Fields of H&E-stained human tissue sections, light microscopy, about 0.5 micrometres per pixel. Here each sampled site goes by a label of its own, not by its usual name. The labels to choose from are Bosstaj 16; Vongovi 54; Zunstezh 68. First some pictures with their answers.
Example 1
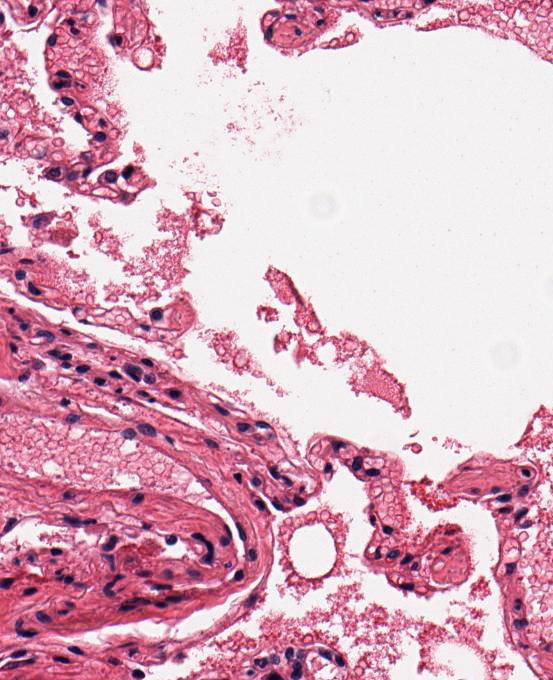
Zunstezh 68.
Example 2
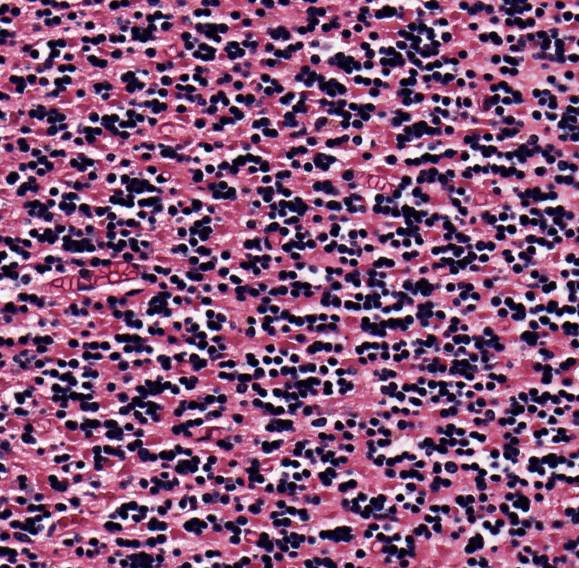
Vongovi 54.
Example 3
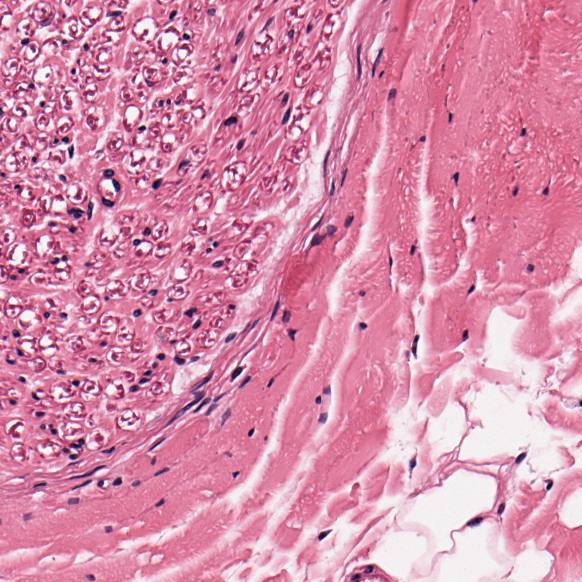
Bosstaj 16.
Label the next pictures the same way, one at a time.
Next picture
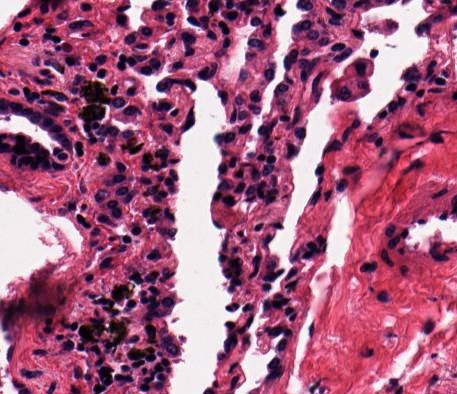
Zunstezh 68.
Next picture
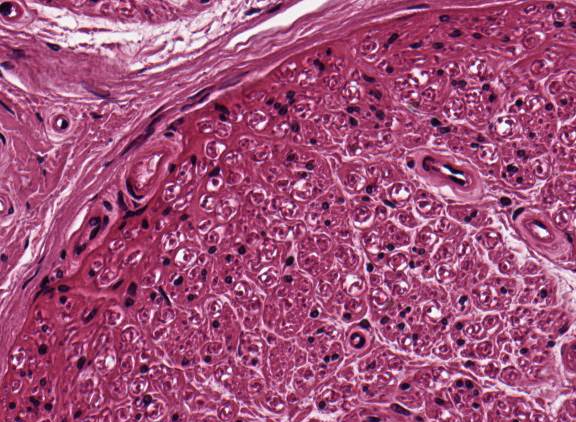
Bosstaj 16.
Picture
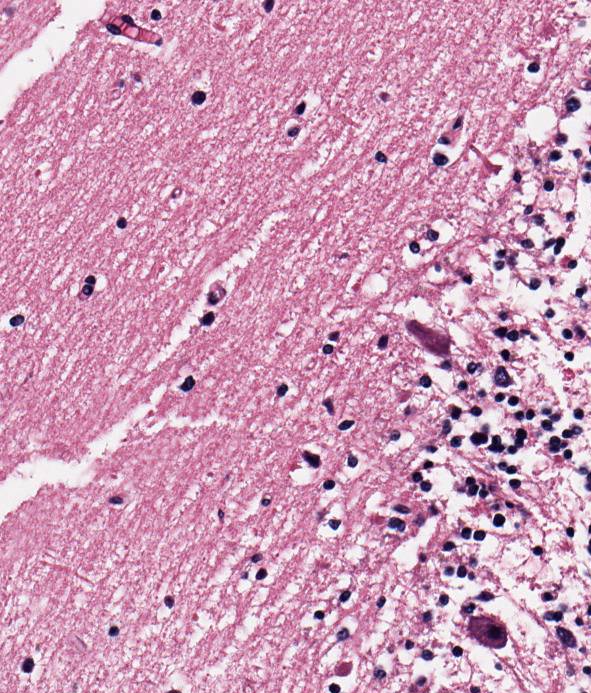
Vongovi 54.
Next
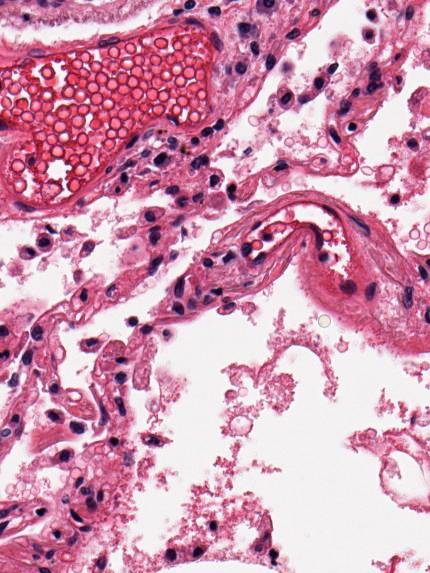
Zunstezh 68.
